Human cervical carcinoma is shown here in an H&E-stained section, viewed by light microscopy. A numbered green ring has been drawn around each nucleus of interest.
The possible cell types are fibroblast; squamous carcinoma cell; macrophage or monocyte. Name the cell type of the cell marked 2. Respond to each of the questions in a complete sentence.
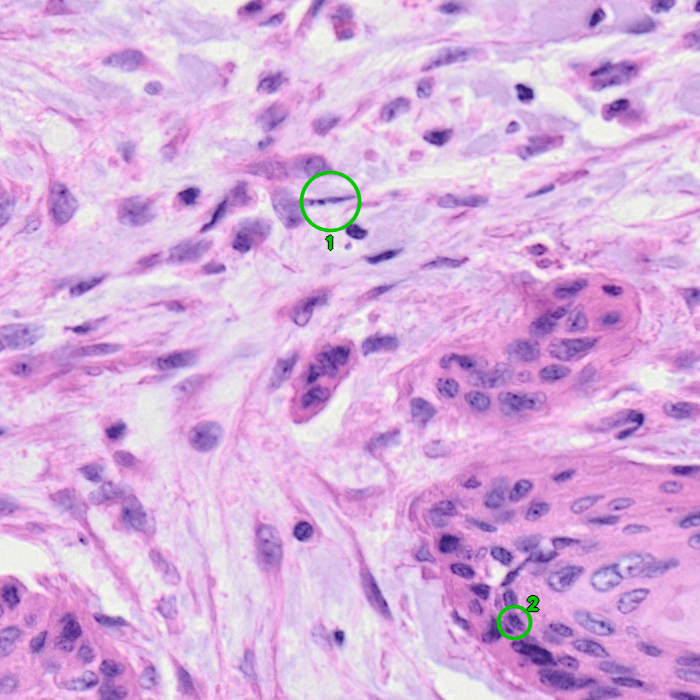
The correct label for cell 2 is a squamous carcinoma cell.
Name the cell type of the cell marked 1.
The cell bearing label 1 corresponds to a fibroblast.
